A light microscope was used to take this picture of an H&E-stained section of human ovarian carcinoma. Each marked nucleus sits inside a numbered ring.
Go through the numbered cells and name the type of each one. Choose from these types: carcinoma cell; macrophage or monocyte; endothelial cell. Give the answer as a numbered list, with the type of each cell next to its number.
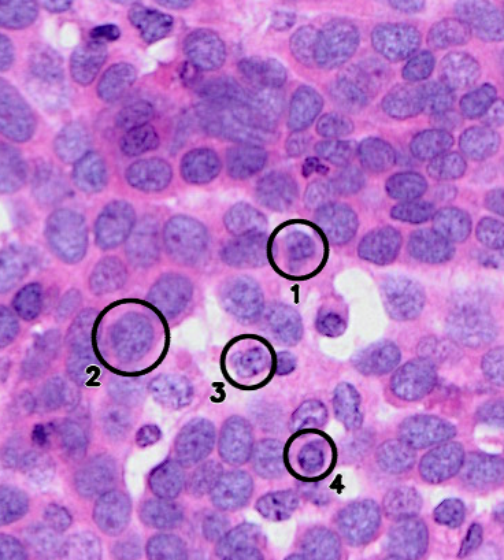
1. macrophage or monocyte
2. carcinoma cell
3. macrophage or monocyte
4. macrophage or monocyte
